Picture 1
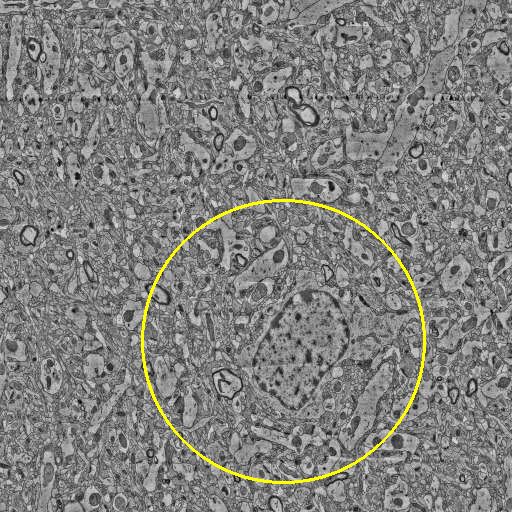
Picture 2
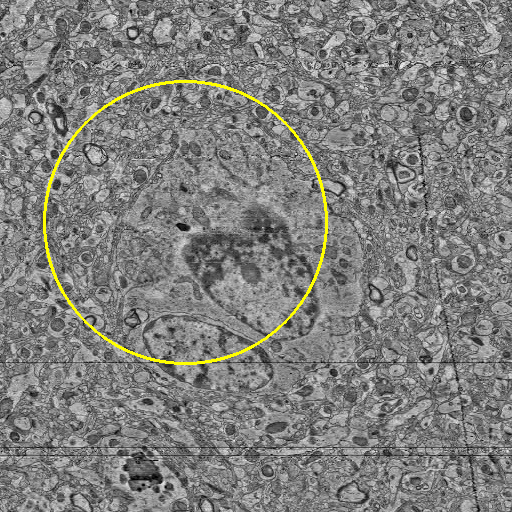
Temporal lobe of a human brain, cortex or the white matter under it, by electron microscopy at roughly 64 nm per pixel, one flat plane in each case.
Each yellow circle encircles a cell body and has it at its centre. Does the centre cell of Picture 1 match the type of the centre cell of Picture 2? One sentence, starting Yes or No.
Yes, the cell centred in Picture 1 and the one in Picture 2 share a type.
